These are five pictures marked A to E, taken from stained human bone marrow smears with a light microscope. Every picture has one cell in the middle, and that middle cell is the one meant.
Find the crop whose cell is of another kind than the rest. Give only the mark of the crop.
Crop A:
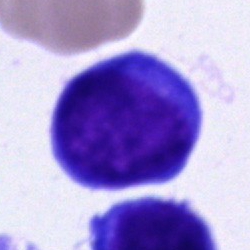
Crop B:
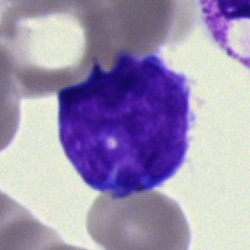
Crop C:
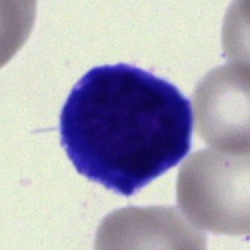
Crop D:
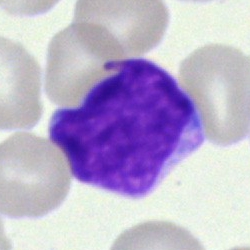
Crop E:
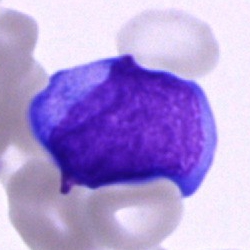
C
